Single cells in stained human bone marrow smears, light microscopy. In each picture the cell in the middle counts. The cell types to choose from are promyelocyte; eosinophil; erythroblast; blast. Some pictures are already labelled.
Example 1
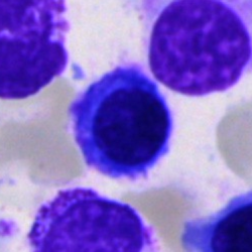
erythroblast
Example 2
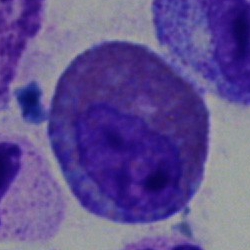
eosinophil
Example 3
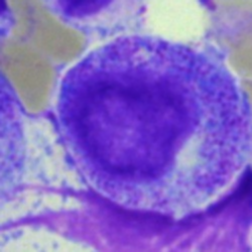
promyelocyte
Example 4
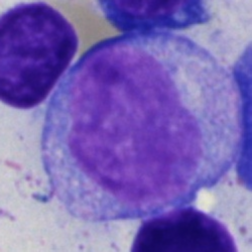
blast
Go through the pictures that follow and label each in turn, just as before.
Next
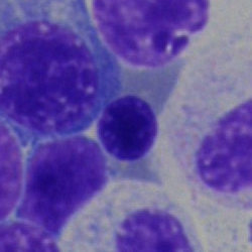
erythroblast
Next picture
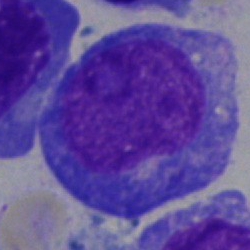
blast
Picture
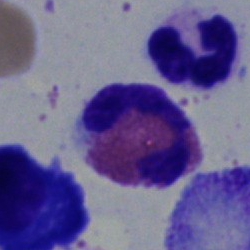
eosinophil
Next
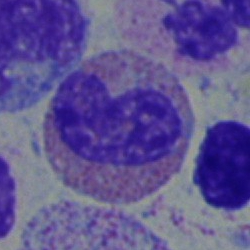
eosinophil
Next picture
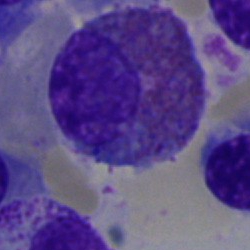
eosinophil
